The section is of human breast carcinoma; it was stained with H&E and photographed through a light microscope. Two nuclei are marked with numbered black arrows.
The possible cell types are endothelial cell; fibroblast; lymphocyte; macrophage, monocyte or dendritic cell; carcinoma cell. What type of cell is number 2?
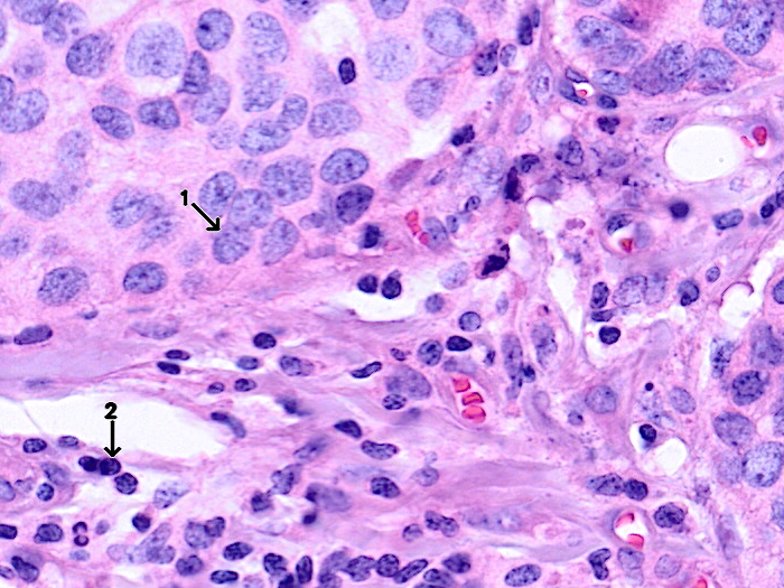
lymphocyte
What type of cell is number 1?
carcinoma cell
